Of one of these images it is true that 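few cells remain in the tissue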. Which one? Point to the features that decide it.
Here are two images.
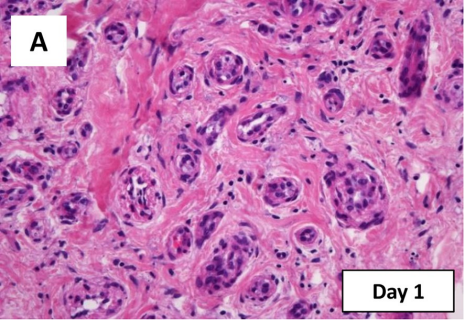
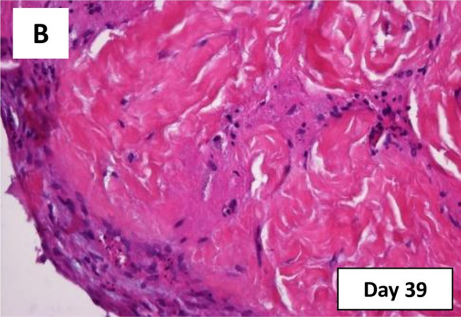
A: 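Second image: mostly pink acellular material with only scattered nuclei, chiefly at the edge. First image: many nests of cells with purple nuclei throughout the stroma.
Answer: the second image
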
